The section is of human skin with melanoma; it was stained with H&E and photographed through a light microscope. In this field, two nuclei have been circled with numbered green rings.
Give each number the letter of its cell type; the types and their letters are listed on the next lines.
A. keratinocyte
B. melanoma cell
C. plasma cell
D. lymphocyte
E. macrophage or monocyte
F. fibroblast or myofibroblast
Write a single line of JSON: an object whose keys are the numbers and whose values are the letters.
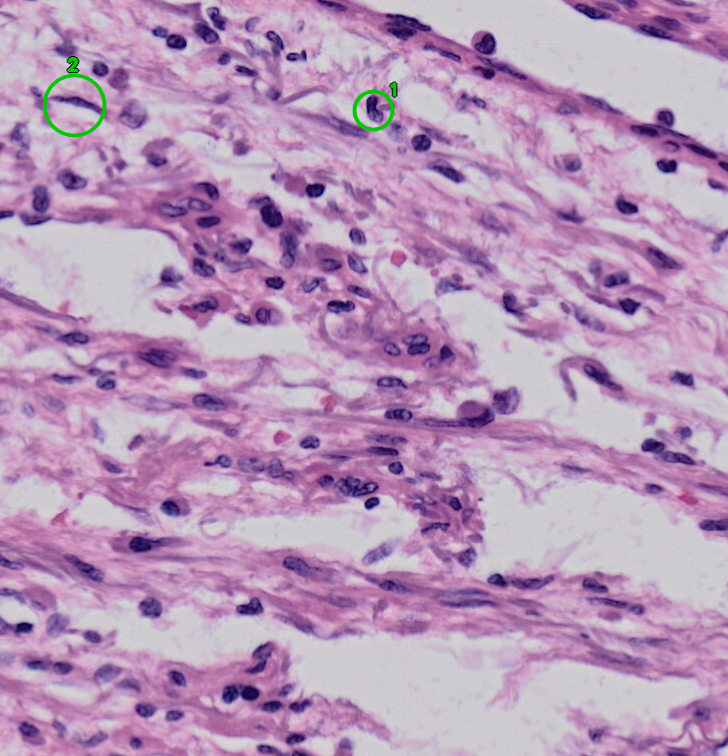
{"1": "D", "2": "F"}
